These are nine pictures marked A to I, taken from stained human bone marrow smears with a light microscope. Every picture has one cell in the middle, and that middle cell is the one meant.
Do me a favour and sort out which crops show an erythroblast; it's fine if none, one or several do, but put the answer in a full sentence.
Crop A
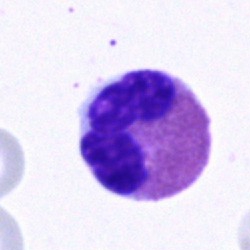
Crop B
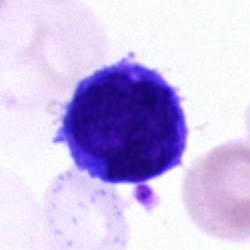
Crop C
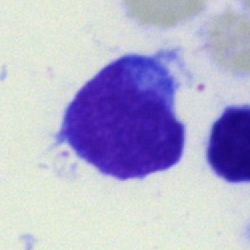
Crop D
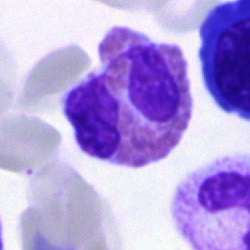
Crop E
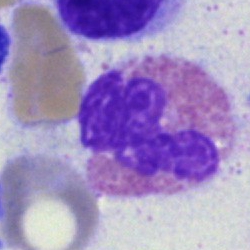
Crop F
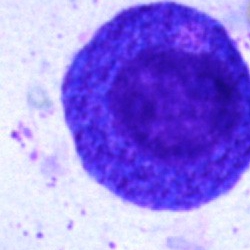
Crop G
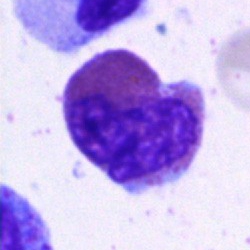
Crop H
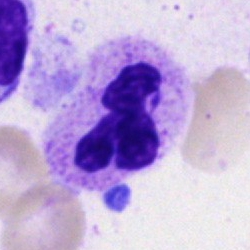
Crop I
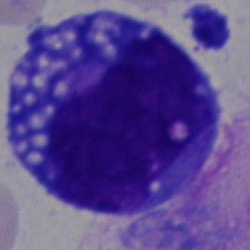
No crop of the set centres on an erythroblast.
